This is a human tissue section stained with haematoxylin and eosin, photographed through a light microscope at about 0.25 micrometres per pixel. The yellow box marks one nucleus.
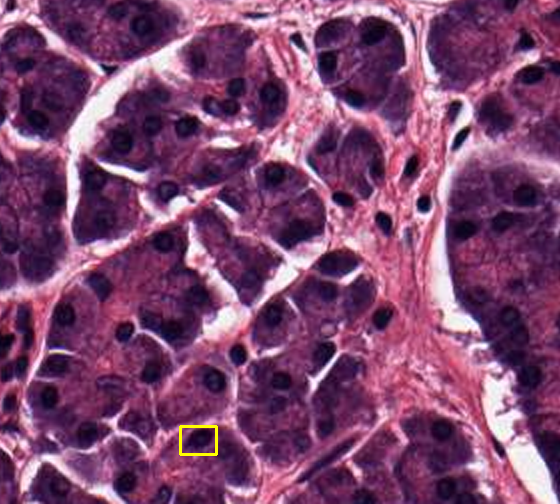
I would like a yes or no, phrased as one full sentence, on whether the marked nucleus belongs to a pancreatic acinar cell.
Yes, the marked nucleus is contained in a pancreatic acinar cell.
